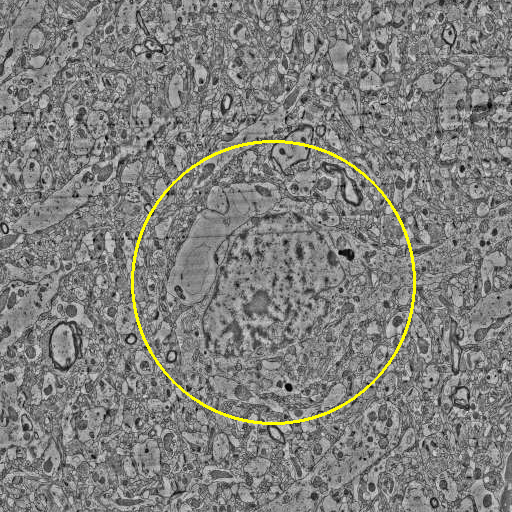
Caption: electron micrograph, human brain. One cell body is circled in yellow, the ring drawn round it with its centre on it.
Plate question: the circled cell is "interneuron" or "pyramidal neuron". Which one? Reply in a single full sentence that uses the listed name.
The yellow ring on the plate is centred on an interneuron, going by the listed names.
